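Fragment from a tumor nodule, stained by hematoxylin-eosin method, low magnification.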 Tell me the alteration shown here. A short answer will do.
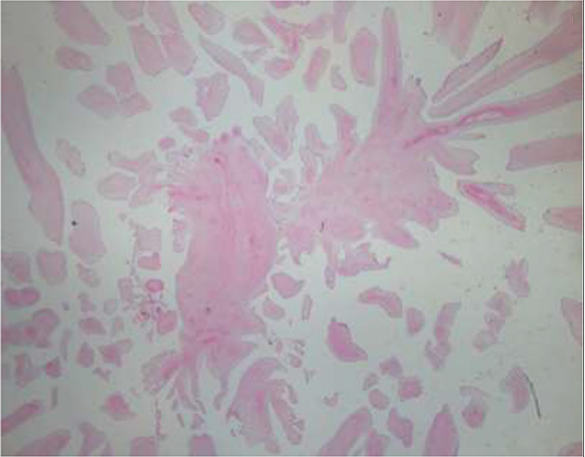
Papillary fibroelastoma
